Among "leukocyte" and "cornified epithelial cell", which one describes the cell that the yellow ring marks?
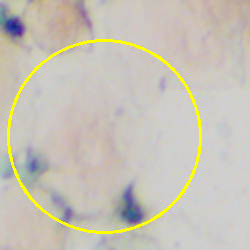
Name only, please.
cornified epithelial cell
